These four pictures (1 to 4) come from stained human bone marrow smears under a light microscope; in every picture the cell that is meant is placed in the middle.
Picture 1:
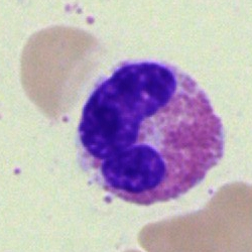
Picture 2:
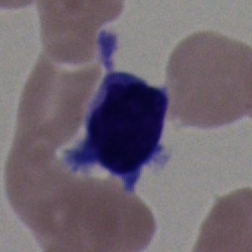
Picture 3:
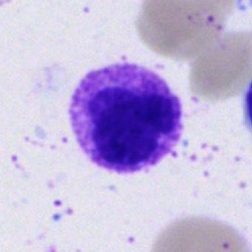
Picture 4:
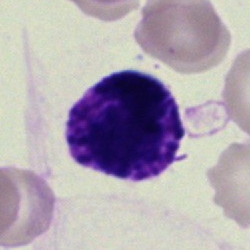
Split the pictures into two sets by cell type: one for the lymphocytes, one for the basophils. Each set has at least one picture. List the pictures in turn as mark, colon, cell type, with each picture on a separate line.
1: basophil
2: lymphocyte
3: basophil
4: basophil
